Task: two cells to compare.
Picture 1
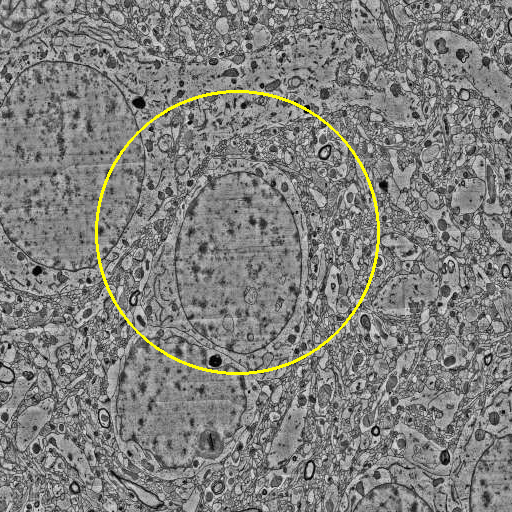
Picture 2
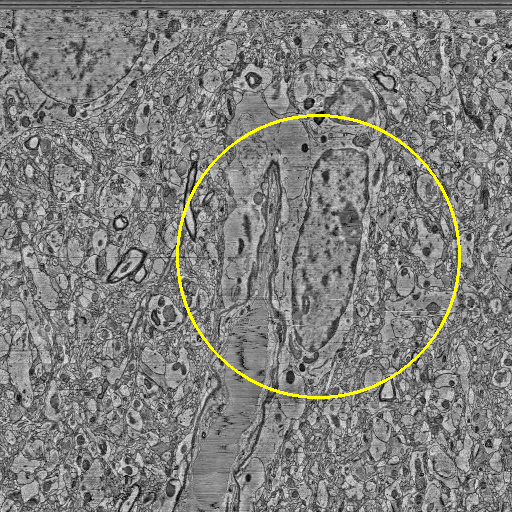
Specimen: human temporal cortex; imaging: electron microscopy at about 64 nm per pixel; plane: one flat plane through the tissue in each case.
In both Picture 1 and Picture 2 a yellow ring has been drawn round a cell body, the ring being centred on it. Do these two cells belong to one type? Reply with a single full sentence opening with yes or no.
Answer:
No, the two cells at the ring centres in Picture 1 and Picture 2 are of two types.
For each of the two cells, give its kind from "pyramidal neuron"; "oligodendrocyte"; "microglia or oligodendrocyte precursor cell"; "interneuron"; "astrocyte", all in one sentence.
The first picture has a pyramidal neuron in its ring, the second has a microglial cell or oligodendrocyte precursor cell.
